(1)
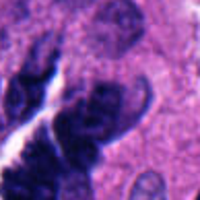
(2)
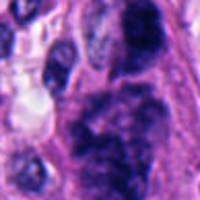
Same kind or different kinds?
Same: syncytial knots.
